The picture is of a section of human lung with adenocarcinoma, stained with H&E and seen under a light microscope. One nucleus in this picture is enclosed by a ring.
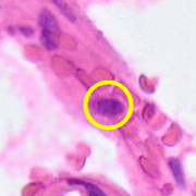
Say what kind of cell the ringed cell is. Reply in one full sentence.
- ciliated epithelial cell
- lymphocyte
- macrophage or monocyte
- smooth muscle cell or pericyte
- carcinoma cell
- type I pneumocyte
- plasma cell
The identity of the ringed cell: it is a type I pneumocyte.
